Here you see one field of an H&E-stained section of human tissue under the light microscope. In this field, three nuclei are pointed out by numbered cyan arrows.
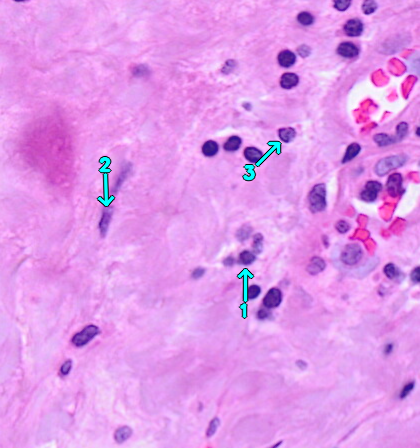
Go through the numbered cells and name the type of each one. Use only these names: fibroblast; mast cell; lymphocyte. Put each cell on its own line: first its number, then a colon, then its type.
1: lymphocyte
2: fibroblast
3: lymphocyte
